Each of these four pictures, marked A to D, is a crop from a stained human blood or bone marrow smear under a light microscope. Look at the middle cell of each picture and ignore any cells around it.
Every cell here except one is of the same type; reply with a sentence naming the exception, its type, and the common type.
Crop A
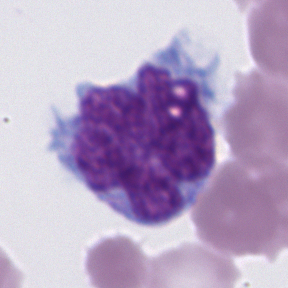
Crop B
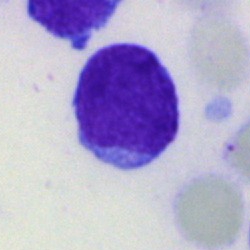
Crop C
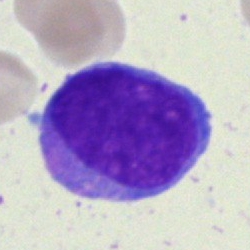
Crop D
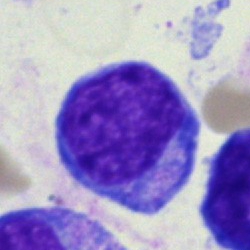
Of these crops, only crop A is a monocyte; the others are blasts.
